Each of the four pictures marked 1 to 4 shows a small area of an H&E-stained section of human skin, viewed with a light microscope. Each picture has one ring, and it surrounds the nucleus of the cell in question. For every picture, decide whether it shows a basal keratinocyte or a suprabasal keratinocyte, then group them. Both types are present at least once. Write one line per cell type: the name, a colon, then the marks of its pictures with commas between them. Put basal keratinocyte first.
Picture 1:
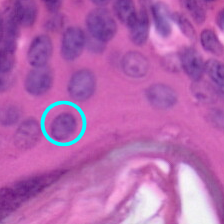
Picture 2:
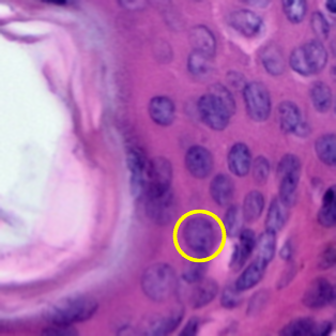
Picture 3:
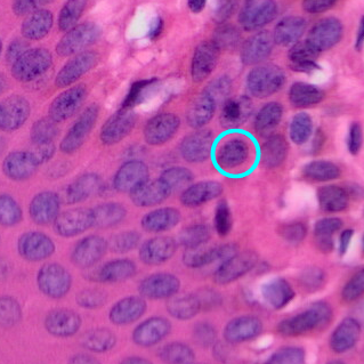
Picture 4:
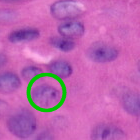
basal keratinocyte: 3
suprabasal keratinocyte: 1, 2, 4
